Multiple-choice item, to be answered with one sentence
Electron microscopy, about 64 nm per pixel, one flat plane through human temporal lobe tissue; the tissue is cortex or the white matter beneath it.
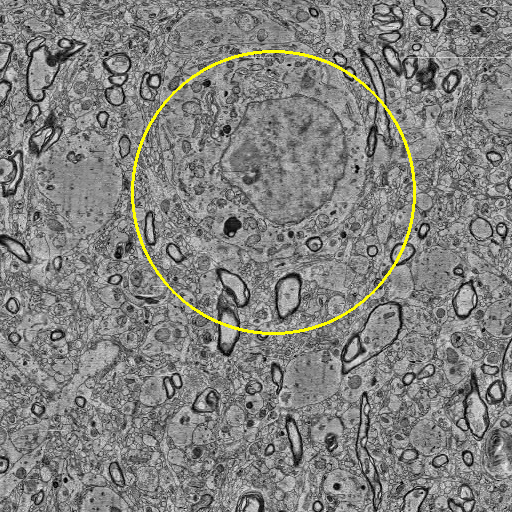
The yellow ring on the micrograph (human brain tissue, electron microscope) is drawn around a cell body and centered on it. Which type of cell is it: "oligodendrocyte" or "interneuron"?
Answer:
The ring is centered on an interneuron.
